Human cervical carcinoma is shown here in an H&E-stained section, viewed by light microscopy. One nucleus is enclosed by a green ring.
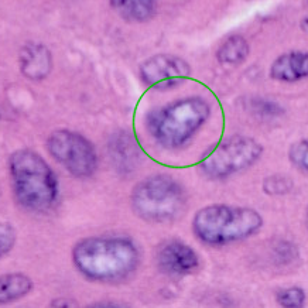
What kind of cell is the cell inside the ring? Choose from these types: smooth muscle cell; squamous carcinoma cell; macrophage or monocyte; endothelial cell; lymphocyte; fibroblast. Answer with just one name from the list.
squamous carcinoma cell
